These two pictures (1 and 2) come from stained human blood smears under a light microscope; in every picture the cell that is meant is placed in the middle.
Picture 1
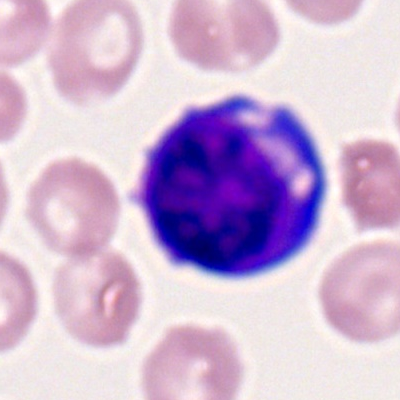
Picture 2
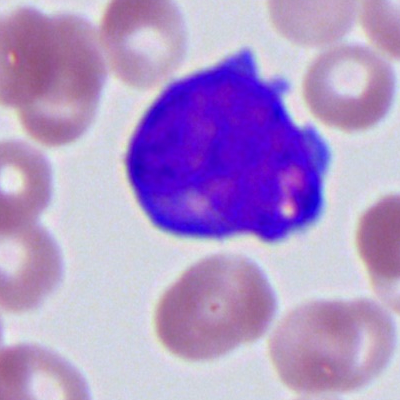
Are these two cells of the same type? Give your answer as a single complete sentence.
Yes, both are myeloblasts.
